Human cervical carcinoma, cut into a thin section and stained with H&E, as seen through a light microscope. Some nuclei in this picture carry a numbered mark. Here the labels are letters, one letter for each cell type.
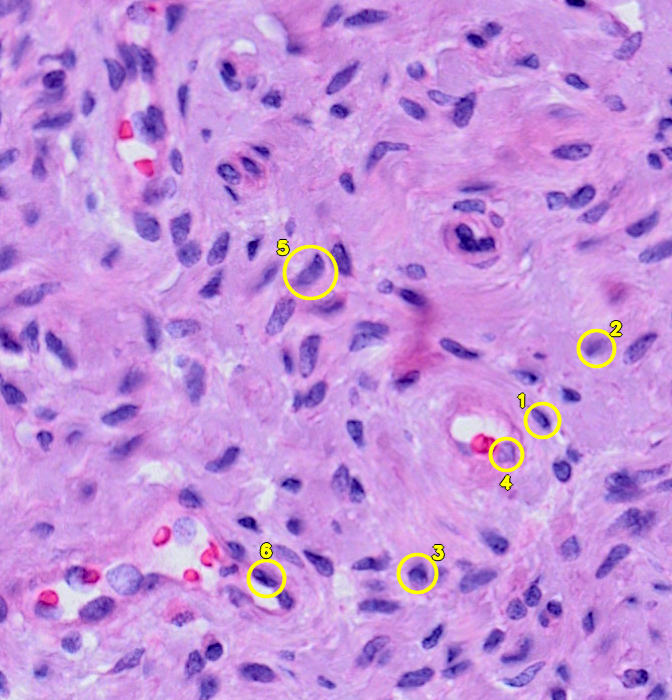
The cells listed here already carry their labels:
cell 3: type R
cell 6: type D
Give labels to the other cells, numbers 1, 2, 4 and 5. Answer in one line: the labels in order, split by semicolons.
type R; type R; type D; type R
